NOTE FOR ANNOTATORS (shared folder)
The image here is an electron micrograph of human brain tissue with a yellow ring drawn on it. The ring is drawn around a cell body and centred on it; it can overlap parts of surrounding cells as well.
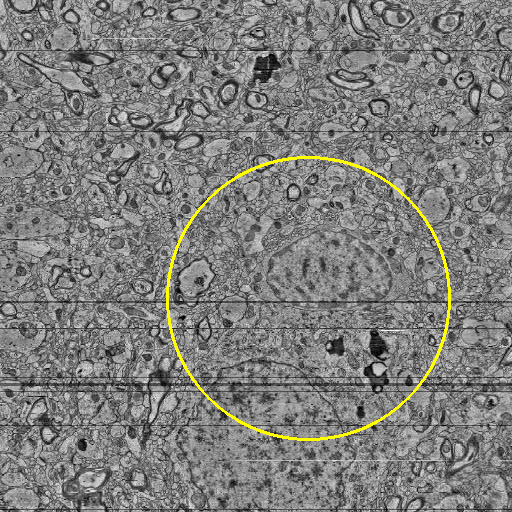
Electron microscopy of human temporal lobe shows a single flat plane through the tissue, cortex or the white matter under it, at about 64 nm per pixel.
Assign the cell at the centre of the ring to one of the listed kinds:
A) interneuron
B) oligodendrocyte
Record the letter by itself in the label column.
B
